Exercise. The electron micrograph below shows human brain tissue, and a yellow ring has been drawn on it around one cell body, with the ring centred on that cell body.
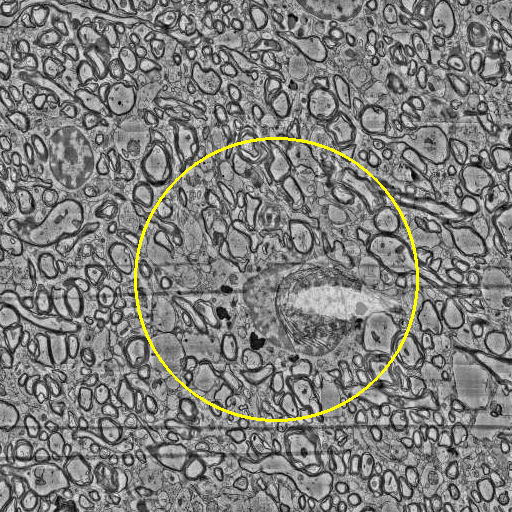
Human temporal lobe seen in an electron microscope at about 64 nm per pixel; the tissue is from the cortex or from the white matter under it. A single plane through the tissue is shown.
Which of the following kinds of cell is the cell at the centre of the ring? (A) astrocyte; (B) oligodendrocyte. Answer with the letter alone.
B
